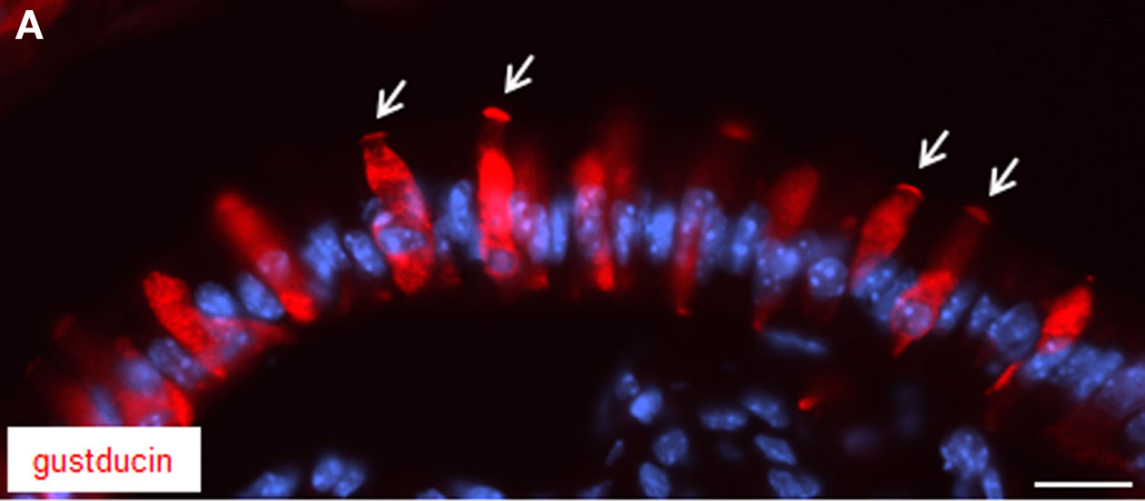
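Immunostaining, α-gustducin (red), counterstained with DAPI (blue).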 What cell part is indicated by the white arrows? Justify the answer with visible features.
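The arrows point to thin, intensely red caps at the free tips of elongated red cells. The caps sit at the luminal surface of the epithelium, above the row of blue nuclei. The answer: microvilli.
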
